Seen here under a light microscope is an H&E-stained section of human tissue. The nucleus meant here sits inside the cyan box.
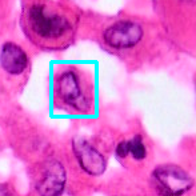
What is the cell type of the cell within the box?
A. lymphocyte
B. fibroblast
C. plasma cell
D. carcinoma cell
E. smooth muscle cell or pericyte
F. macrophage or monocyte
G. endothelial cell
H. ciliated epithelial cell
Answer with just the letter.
F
